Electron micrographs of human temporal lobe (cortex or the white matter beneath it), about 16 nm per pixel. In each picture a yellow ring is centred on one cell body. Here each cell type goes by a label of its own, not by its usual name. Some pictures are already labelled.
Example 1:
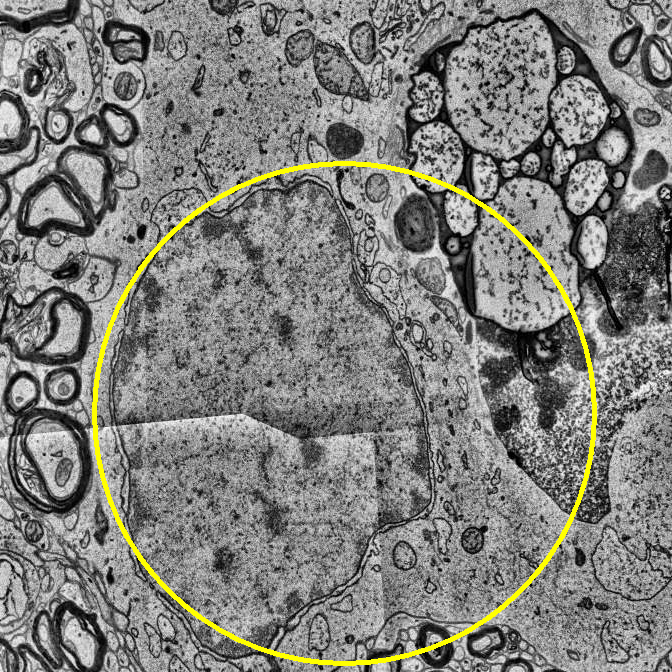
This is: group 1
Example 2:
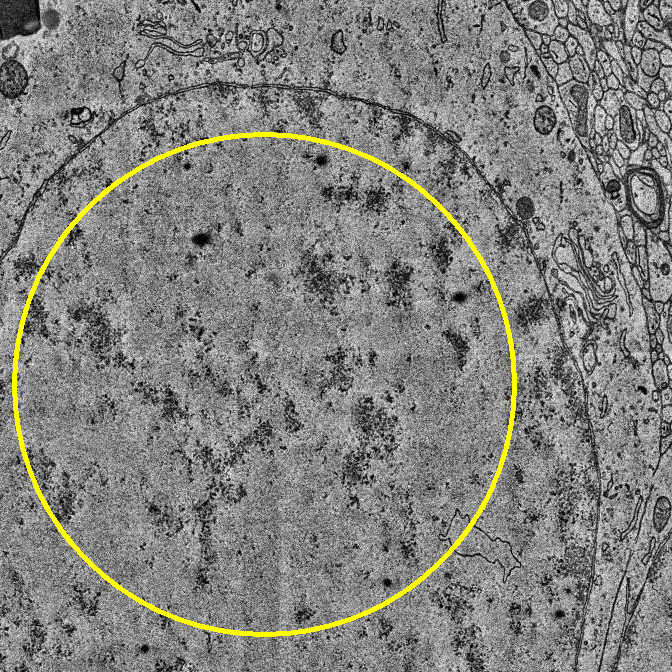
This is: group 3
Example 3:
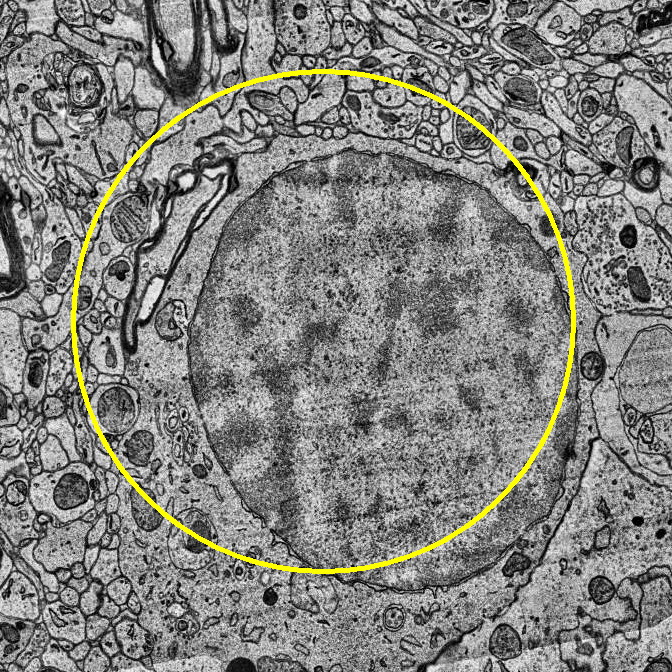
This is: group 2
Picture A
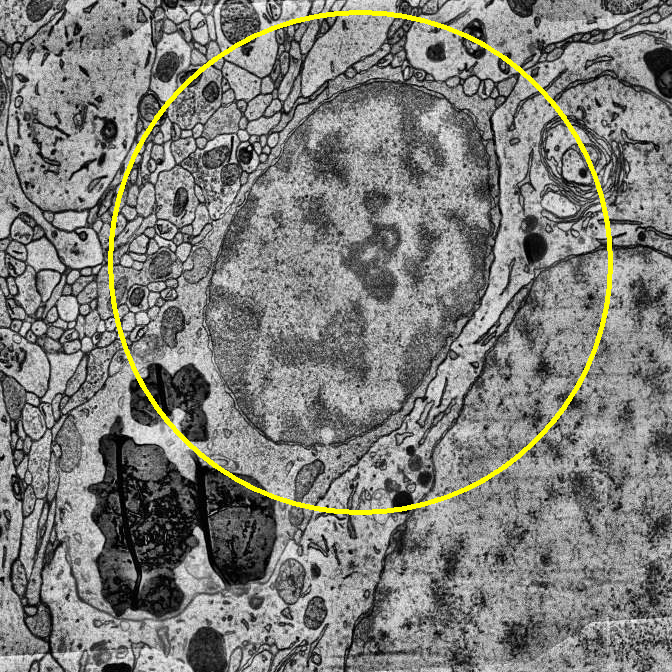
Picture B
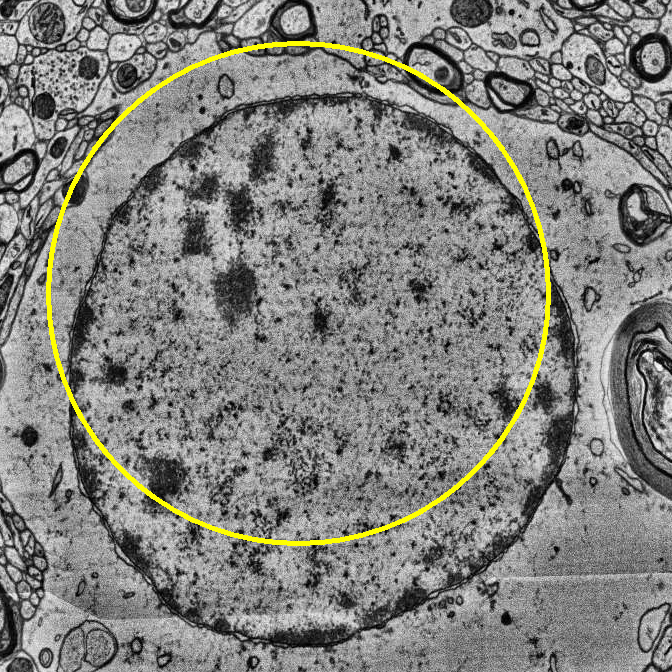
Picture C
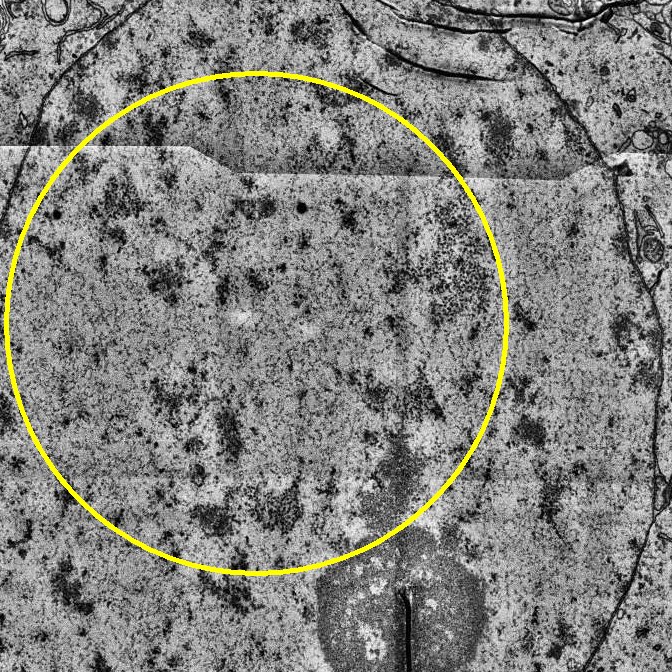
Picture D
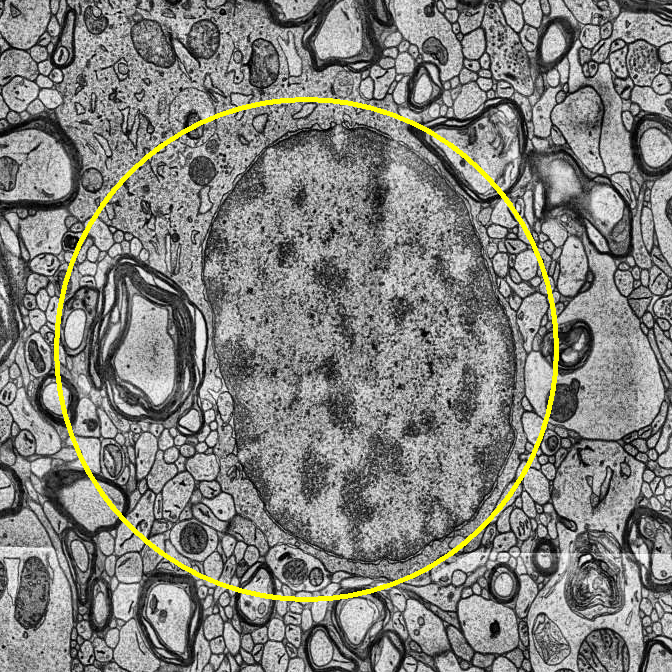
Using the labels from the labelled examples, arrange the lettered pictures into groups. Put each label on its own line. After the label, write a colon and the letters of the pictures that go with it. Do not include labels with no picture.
group 1: B
group 3: C
group 2: A, D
